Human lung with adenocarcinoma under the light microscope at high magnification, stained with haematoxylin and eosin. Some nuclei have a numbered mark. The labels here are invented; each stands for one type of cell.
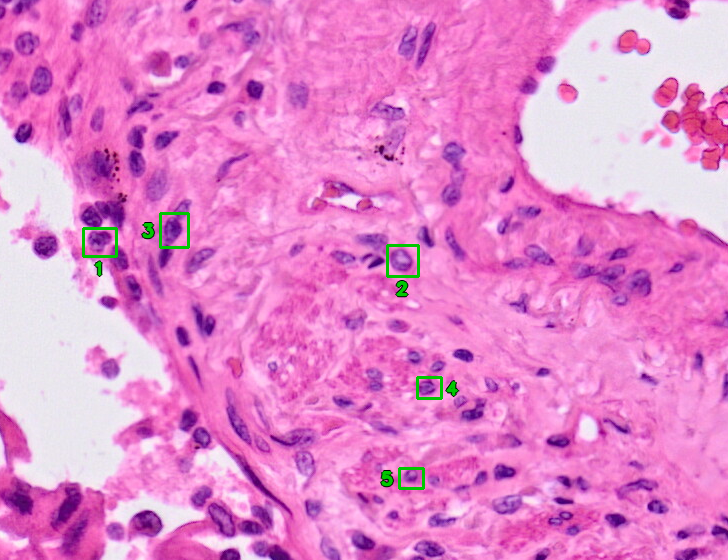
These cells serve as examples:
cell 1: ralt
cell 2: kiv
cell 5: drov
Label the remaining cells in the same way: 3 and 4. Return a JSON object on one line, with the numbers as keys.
{"3": "ralt", "4": "drov"}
